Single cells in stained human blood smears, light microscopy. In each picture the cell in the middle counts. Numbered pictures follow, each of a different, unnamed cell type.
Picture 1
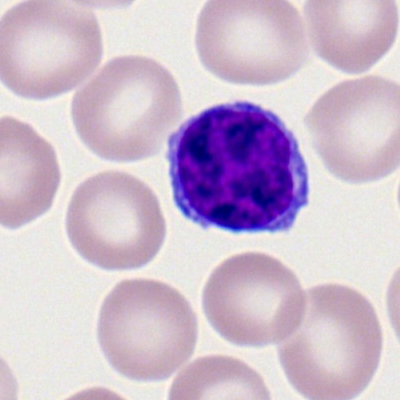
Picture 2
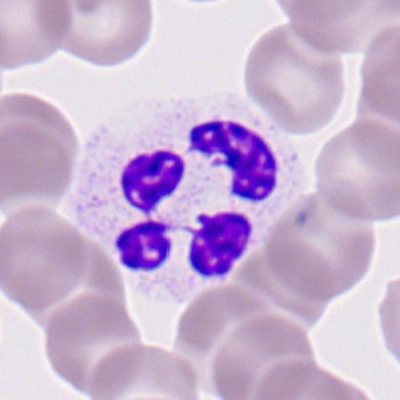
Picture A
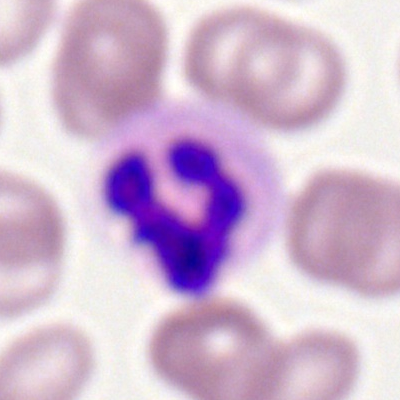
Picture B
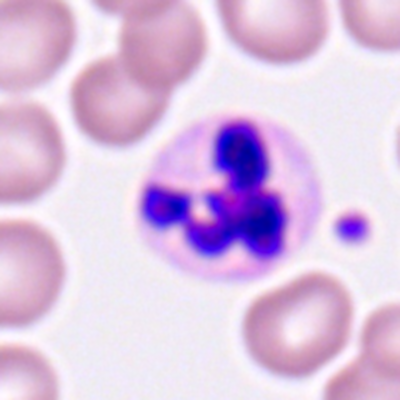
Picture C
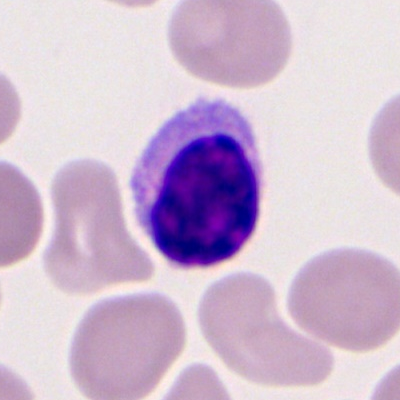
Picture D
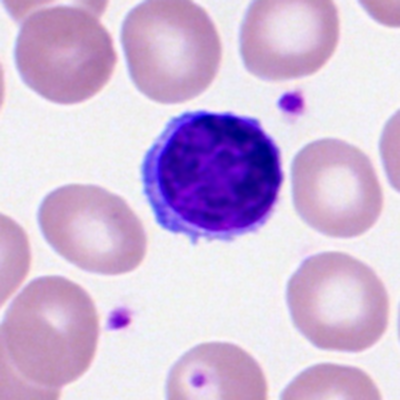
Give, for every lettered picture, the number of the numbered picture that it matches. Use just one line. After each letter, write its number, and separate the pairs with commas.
A 2, B 2, C 1, D 1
